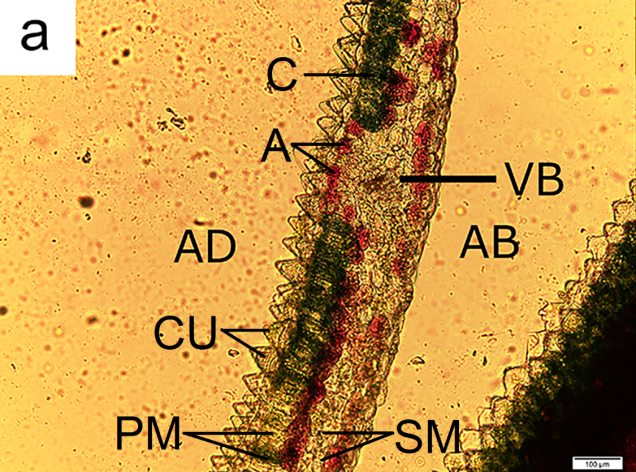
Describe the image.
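The outer surface is covered by a translucent cuticle with a toothed, saw-like outline. Toward the upper side, elongated palisade cells packed with green chloroplasts form a dense band, while looser spongy mesophyll lies toward the lower side. Rounded cells filled with red-purple pigment sit in rows along the mesophyll.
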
